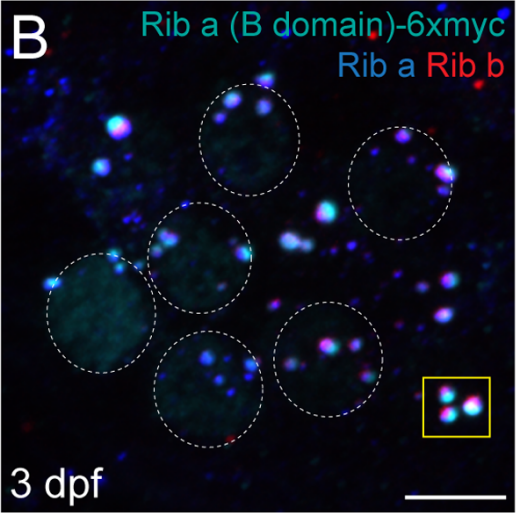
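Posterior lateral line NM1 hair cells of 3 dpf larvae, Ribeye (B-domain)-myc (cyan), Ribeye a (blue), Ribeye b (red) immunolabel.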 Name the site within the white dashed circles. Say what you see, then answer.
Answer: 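Each dashed circle encloses a round area with faint diffuse cyan fill. Bright puncta sit at the rims of the circled areas. Several circled round areas are arranged side by side, cell-sized. That points to this answer: nuclear.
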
